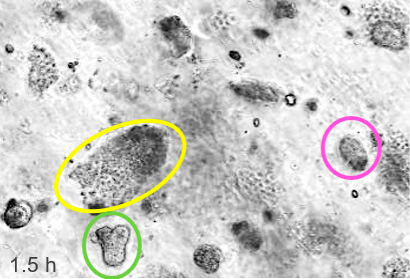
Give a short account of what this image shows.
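The villi are large, broad fragments with a granular, cobbled surface. Some small fragments already look rounded and closed.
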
